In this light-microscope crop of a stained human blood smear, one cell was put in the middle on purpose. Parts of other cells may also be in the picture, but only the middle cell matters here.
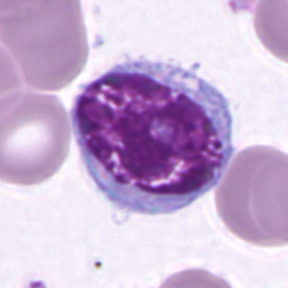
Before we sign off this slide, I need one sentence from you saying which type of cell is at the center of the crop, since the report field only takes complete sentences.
At the center of the crop sits a plasma cell.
